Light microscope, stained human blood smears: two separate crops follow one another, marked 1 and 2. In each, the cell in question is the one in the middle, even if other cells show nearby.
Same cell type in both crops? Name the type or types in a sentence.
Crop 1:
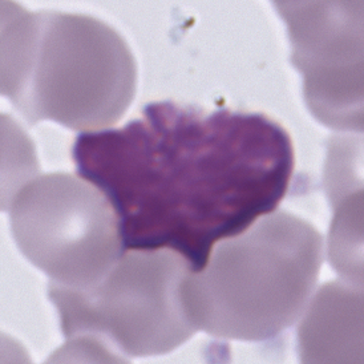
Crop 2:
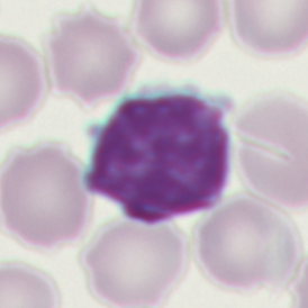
No, crop 1 features a smudge cell, while crop 2 features a typical lymphocyte.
